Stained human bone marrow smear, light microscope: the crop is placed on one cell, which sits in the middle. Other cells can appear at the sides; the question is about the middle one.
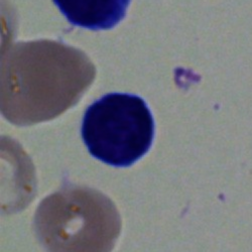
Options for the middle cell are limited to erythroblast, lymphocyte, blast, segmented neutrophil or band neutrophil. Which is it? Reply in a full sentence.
Here the cell in the middle is a lymphocyte.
